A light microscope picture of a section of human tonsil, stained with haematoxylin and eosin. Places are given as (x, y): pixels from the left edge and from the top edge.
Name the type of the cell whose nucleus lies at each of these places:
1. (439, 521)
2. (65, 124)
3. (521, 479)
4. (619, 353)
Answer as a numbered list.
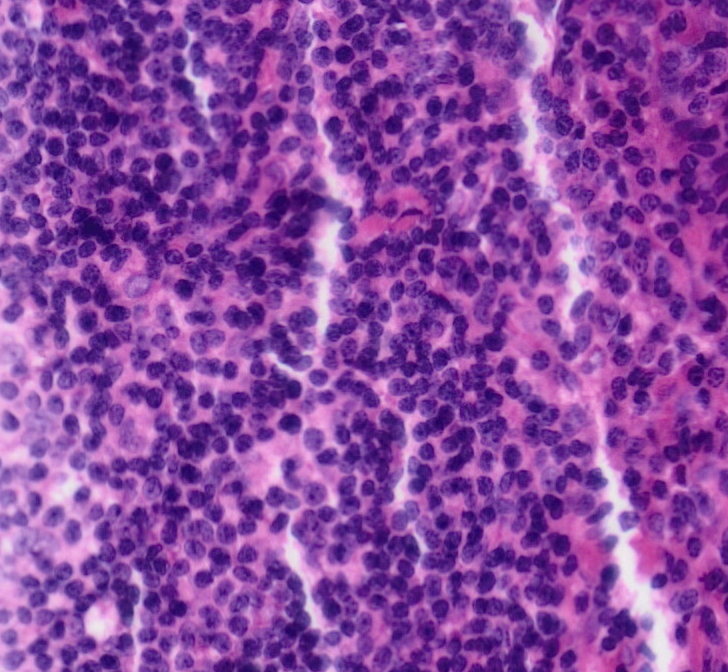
1. small lymphocyte
2. small lymphocyte
3. small lymphocyte
4. plasma cell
